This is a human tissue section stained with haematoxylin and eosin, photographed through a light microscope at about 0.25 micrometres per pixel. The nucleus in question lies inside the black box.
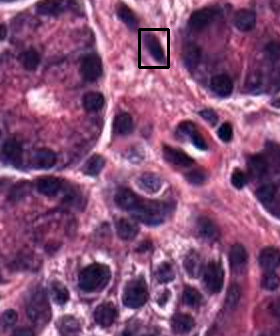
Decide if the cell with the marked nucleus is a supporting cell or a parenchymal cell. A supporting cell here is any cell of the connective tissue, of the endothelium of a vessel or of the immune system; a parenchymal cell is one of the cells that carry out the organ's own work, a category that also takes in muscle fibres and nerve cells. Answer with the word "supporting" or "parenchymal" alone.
supporting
